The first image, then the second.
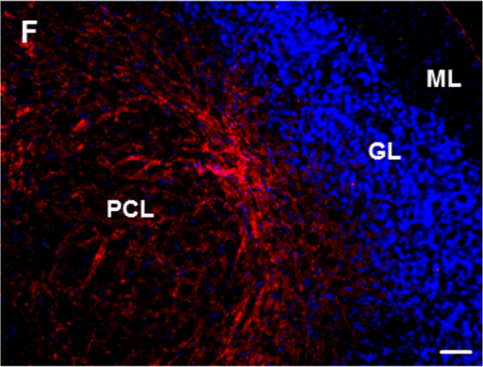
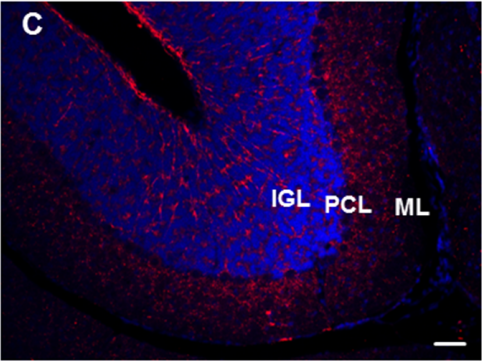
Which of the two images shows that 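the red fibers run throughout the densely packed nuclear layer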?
The second image.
